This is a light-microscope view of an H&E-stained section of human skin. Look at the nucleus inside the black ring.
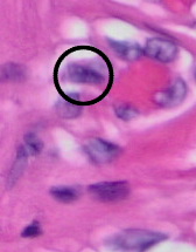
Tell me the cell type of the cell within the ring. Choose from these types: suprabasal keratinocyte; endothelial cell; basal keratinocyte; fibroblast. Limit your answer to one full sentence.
For the purposes of cell typing, the cell within the ring is categorized as an endothelial cell.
